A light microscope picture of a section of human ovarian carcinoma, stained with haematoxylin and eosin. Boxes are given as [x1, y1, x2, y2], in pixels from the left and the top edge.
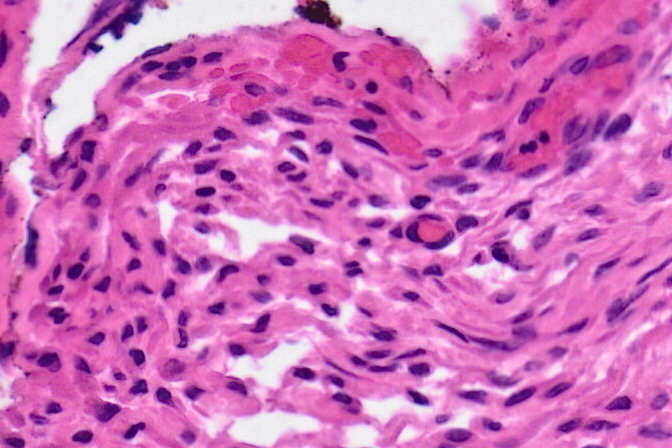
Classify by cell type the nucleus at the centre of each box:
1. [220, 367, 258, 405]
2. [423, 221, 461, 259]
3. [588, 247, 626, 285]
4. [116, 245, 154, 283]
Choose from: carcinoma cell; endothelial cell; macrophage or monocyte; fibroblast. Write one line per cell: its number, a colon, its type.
1: fibroblast
2: endothelial cell
3: fibroblast
4: fibroblast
